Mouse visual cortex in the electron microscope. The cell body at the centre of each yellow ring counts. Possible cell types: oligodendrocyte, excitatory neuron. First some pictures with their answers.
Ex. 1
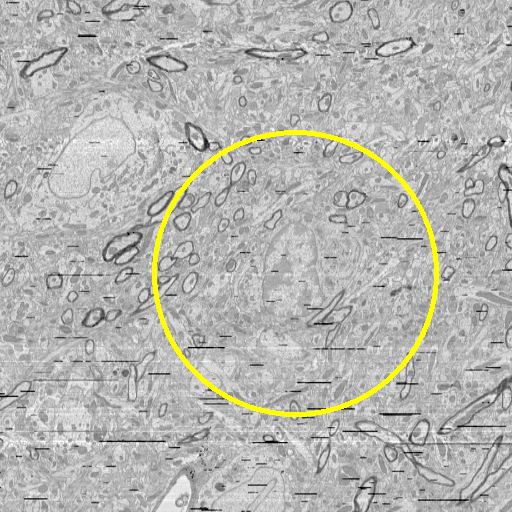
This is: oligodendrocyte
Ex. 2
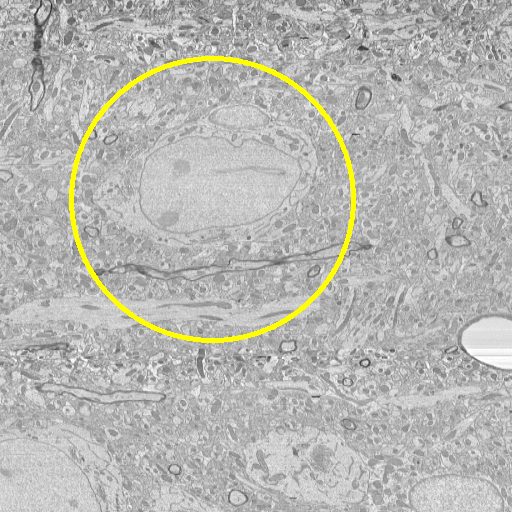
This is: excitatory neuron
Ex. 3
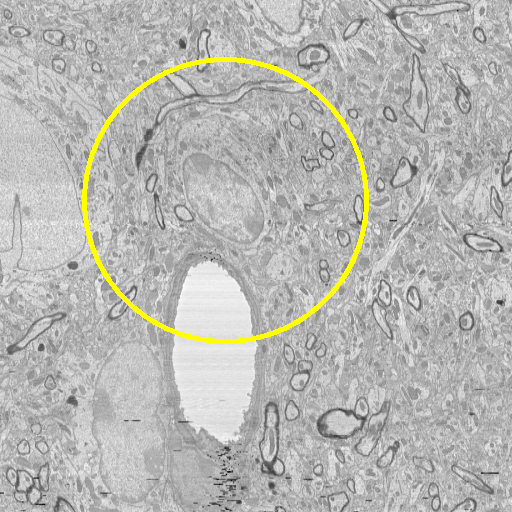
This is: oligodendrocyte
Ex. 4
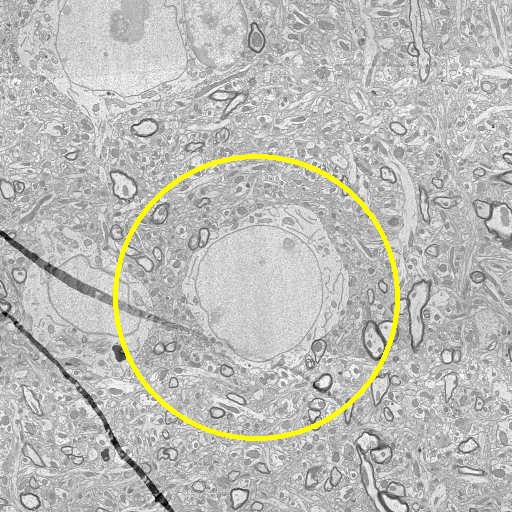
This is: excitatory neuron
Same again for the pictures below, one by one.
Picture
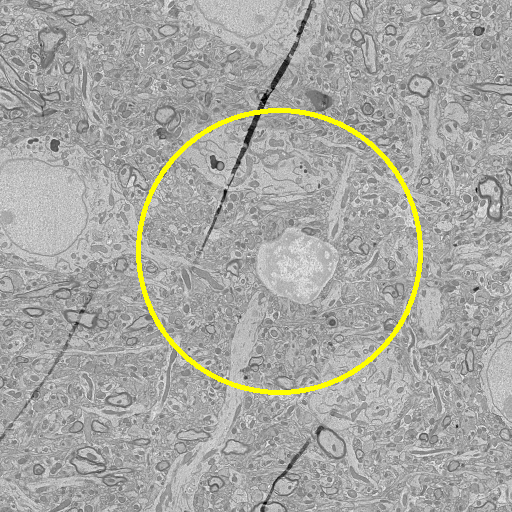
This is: oligodendrocyte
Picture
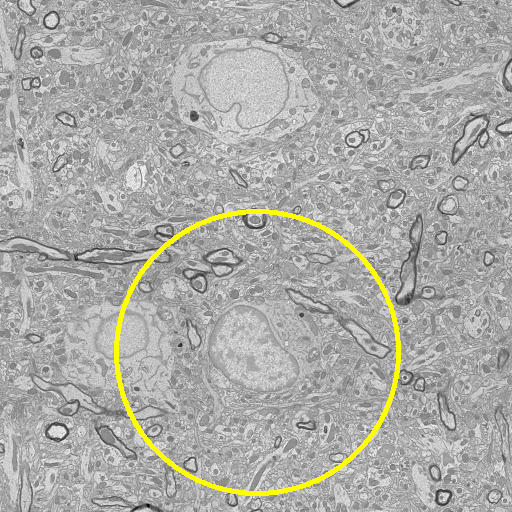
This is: oligodendrocyte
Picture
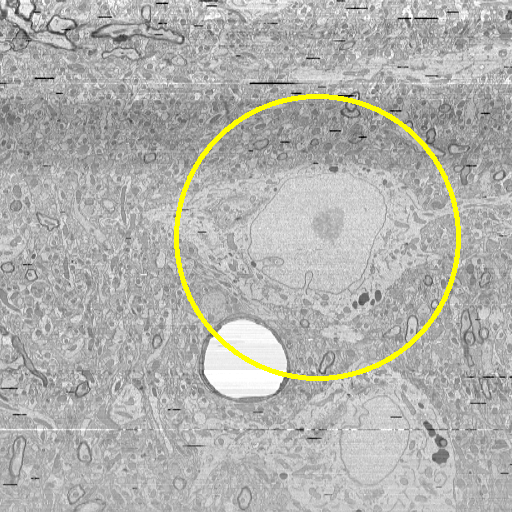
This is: excitatory neuron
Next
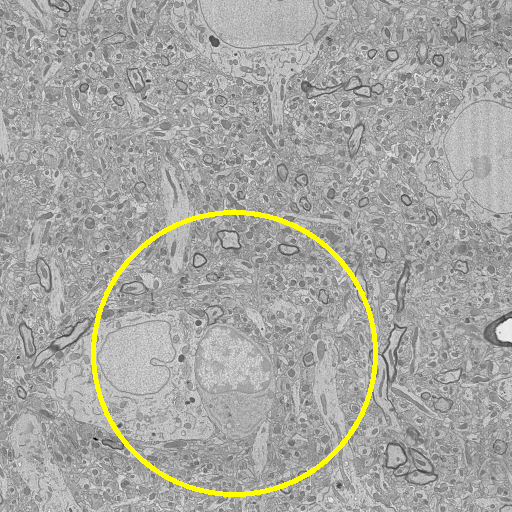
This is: oligodendrocyte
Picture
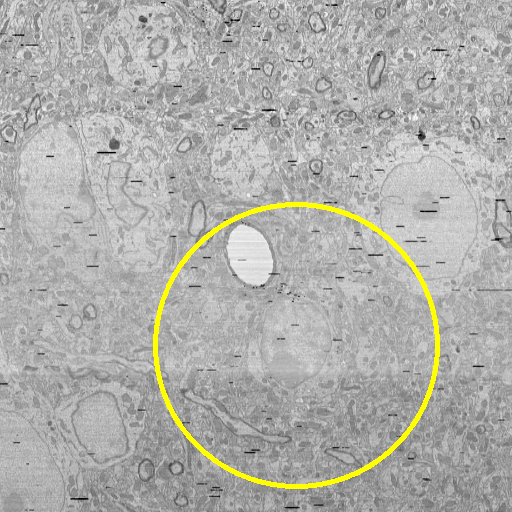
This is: oligodendrocyte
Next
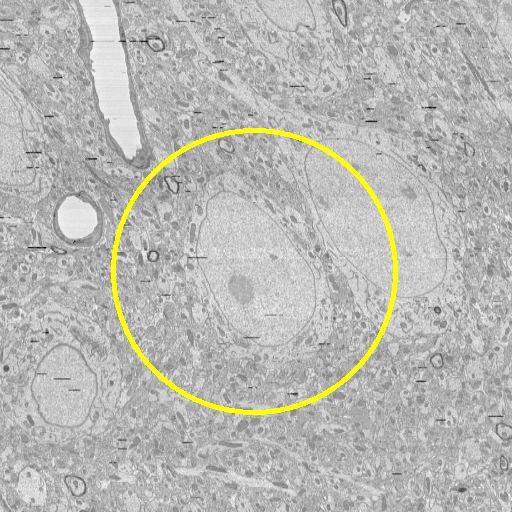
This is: excitatory neuron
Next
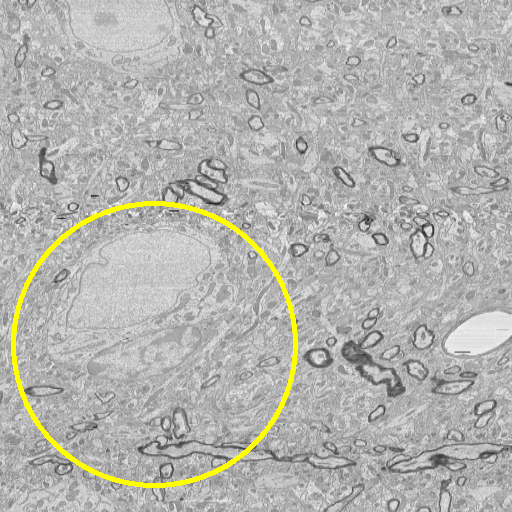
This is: oligodendrocyte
